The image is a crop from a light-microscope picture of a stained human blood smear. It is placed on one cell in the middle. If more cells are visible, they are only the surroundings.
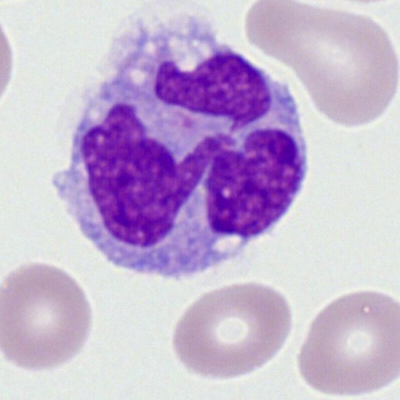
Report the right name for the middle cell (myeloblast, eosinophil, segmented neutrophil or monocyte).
monocyte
